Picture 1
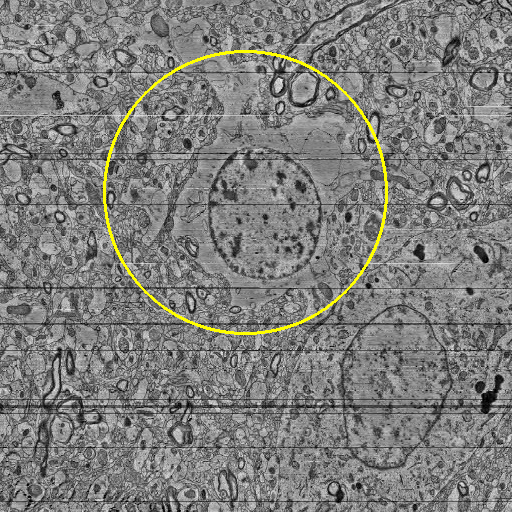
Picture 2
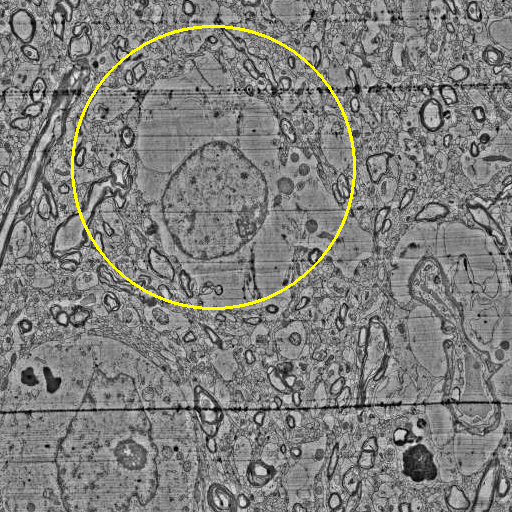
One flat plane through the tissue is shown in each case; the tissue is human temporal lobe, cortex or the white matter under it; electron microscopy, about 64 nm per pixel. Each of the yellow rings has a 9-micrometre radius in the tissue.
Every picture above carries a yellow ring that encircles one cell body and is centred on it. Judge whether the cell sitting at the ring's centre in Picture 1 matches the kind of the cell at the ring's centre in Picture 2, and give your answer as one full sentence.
Yes, the cells centred in the rings of Pictures 1 and 2 belong to one kind.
